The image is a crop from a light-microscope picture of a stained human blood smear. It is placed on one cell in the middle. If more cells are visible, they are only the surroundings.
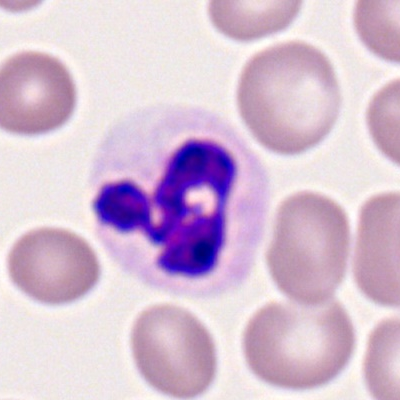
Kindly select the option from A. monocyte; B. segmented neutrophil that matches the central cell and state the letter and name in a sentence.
For this crop, option B is right, the centered cell being a segmented neutrophil.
